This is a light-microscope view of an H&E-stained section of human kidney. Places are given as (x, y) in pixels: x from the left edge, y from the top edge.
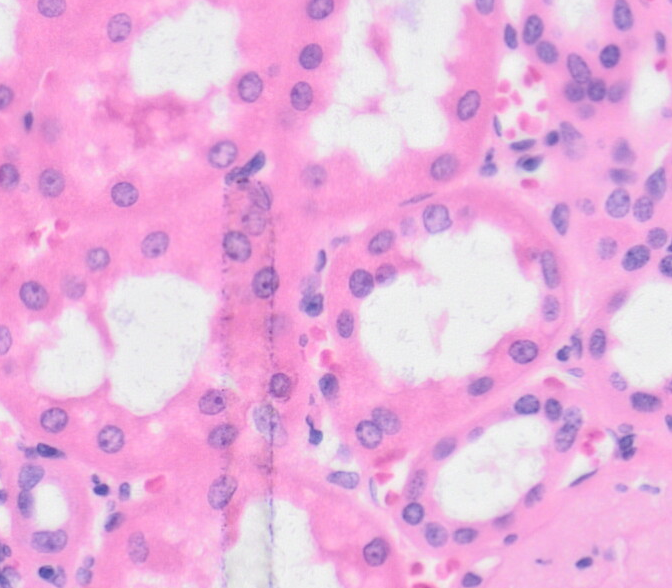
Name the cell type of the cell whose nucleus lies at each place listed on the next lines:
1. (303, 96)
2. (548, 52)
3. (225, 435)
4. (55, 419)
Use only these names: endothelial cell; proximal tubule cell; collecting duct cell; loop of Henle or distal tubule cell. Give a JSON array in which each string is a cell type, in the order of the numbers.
["proximal tubule cell", "collecting duct cell", "proximal tubule cell", "proximal tubule cell"]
